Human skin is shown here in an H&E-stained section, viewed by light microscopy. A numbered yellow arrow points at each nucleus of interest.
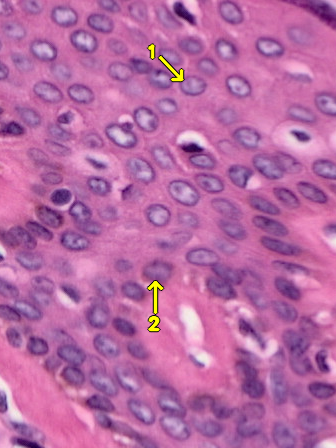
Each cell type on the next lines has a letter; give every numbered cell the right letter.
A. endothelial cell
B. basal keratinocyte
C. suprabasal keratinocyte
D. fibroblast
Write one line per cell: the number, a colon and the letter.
1: C
2: B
